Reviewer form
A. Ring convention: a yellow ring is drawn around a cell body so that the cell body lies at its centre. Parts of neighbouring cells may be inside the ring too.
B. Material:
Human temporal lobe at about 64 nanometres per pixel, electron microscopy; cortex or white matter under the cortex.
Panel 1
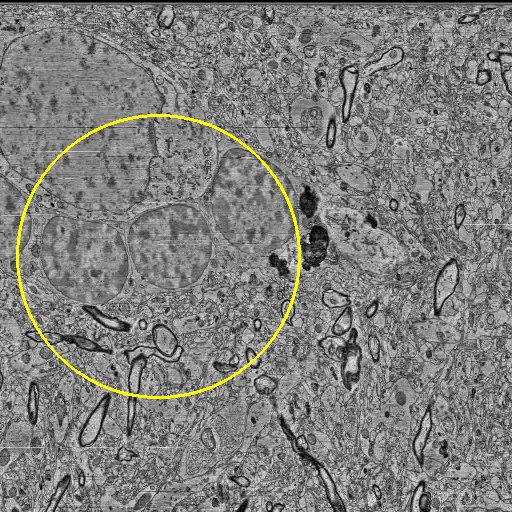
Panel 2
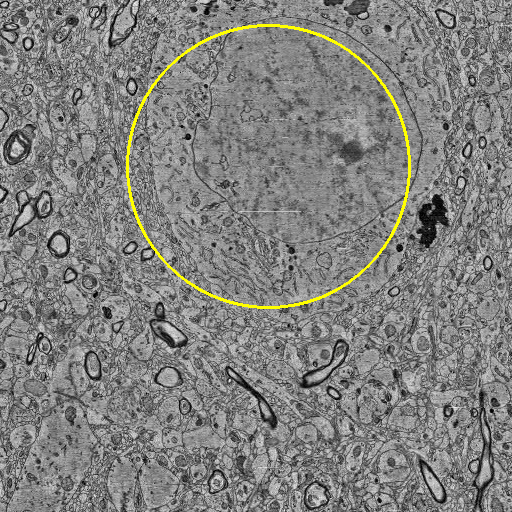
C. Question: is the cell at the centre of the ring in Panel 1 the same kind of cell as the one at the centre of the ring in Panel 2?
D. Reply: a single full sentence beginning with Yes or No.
No, the cells in Panel 1 and Panel 2 are two kinds of cell.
